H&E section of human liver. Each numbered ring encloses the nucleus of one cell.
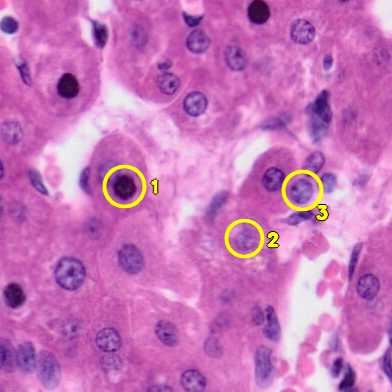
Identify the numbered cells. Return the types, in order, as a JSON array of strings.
["hepatocyte", "hepatocyte", "cholangiocyte"]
